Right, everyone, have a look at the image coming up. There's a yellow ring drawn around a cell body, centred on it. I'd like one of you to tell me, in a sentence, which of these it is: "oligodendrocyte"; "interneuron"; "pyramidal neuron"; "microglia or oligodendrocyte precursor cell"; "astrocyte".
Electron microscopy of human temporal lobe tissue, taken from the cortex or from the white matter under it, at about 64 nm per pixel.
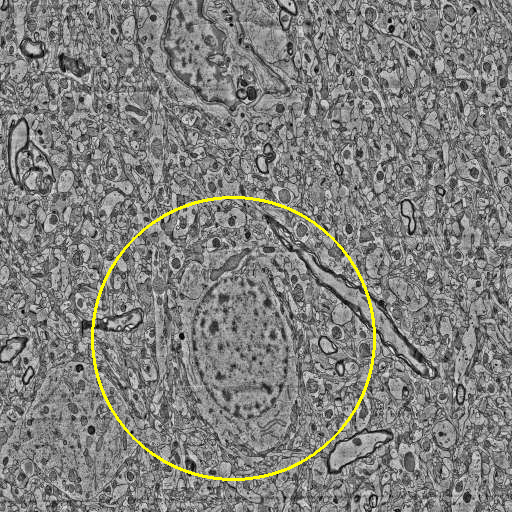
The yellow ring sits on an astrocyte.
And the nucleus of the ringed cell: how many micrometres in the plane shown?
Approximately 9 micrometres long and 6 micrometres wide, in this plane.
